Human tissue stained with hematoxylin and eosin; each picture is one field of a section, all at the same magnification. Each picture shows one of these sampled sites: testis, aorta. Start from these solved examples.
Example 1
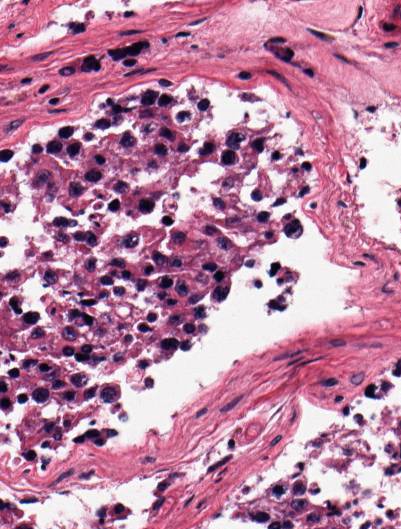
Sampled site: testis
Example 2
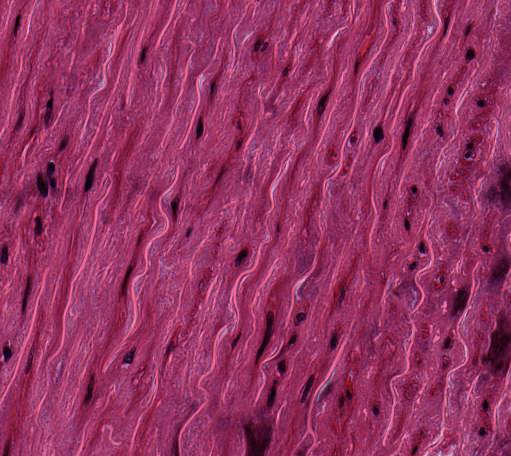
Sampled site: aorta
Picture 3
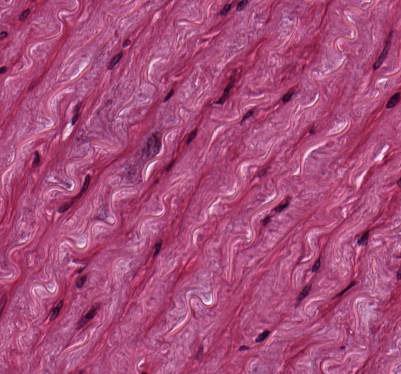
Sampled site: aorta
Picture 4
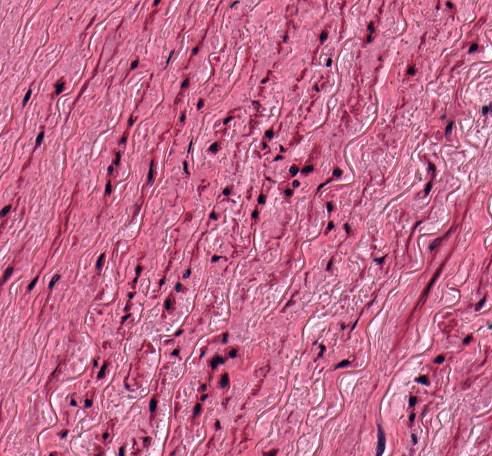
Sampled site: aorta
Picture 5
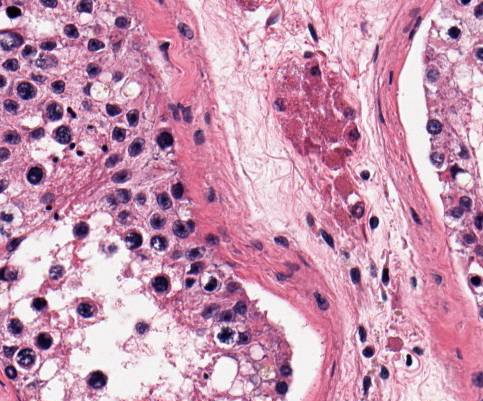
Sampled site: testis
